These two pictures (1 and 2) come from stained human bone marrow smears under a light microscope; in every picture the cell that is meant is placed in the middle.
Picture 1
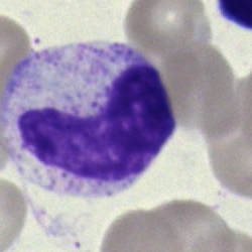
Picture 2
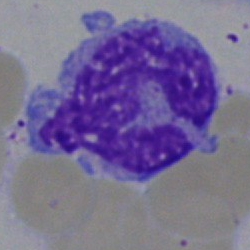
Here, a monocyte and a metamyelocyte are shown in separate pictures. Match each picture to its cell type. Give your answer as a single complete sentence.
Picture 2 shows a monocyte, while picture 1 shows a metamyelocyte.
